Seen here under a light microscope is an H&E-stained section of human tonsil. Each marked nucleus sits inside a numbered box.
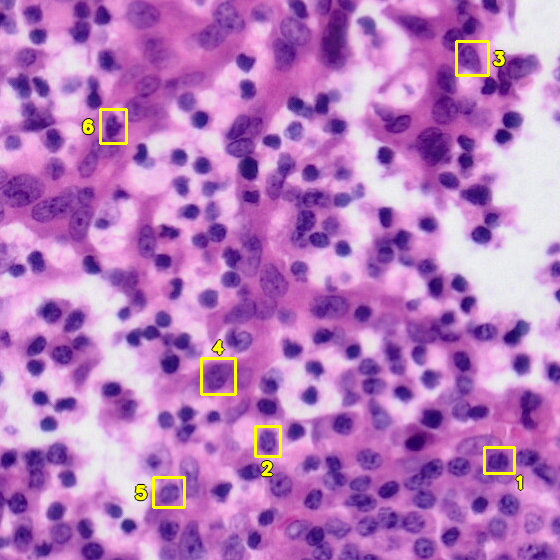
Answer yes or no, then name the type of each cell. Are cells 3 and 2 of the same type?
No, cell 3 is a squamous epithelial cell and cell 2 is a plasma cell.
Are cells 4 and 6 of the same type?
Yes, both are squamous epithelial cells.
